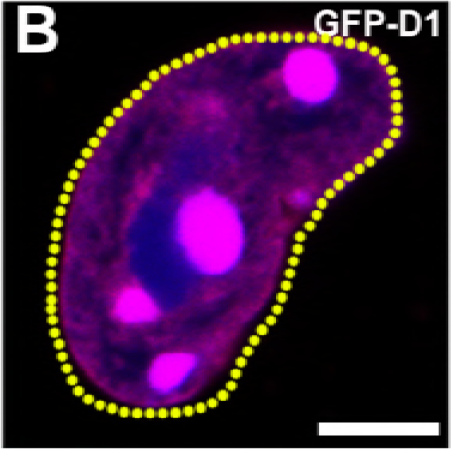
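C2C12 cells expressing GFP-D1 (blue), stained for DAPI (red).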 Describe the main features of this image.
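An irregular, kidney-shaped nucleus of a cultured cell is outlined by a yellow dotted line and filled with purple where blue and red overlap. A handful of large bright magenta chromocenters lie within it, one large rounded one near the centre and smaller ones towards the edges.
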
